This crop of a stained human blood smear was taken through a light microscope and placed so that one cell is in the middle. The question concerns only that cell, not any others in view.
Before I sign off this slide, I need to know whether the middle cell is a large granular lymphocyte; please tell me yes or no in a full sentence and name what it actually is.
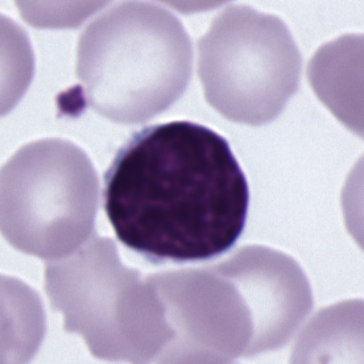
No, mark the middle cell as a typical lymphocyte, not a large granular lymphocyte.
